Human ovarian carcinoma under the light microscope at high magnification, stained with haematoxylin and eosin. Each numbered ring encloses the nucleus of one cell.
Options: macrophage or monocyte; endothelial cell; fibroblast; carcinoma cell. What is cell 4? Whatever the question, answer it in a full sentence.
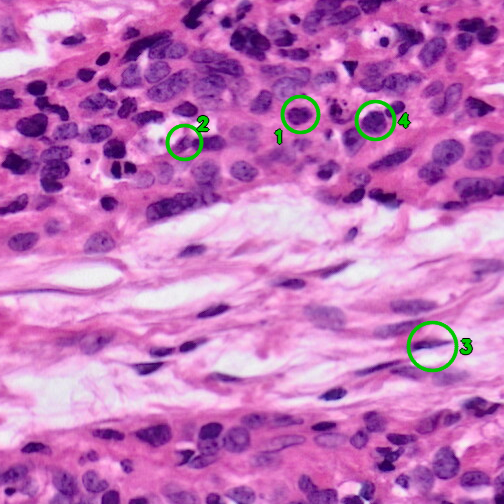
In the marked set, the cell given number 4 is a carcinoma cell.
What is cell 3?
The cell marked with the number 3 is a fibroblast.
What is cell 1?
The cell that carries the label 1 is a carcinoma cell.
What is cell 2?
Belonging to a carcinoma cell is the nucleus that carries the number 2.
